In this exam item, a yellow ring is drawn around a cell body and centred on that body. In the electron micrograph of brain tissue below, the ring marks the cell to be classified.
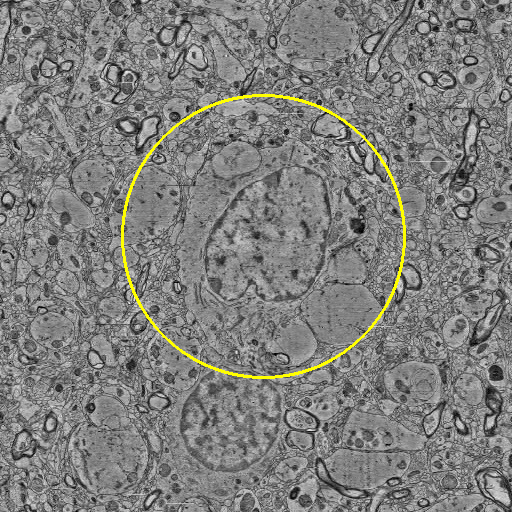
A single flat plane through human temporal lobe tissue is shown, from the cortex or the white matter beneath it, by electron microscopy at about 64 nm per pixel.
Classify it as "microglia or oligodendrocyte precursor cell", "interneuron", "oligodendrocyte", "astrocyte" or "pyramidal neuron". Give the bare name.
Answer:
microglia or oligodendrocyte precursor cell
